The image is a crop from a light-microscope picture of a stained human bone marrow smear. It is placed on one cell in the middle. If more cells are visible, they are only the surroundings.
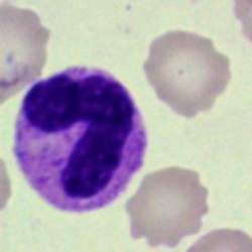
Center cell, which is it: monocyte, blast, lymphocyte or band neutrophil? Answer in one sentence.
At the middle of the frame sits a band neutrophil.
